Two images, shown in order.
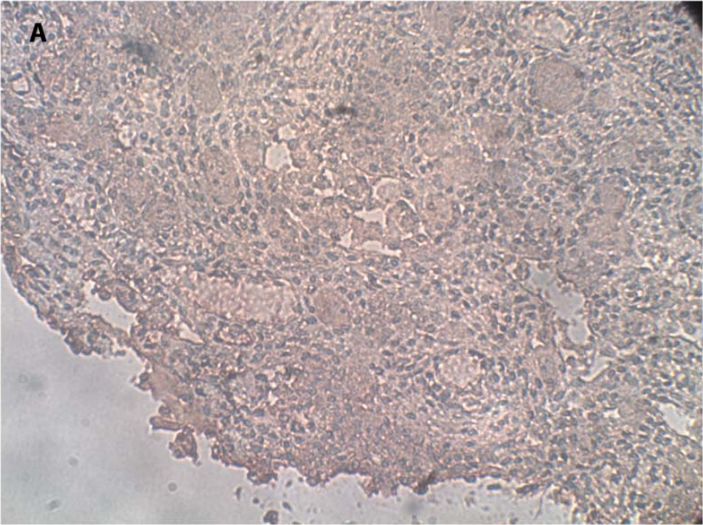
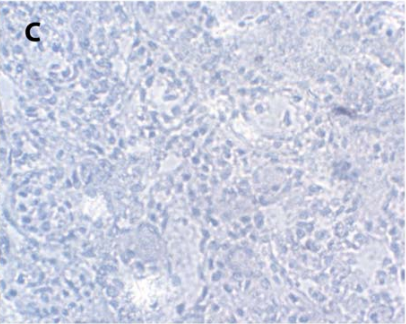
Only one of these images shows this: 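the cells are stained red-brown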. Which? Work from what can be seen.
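Second image: the whole section is pale blue with no brown colour. First image: the section is stained red-brown throughout, including the large round cells.
Answer: the first image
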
